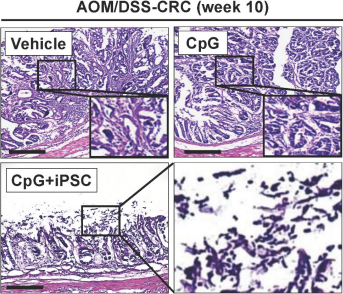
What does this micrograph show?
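In the upper two images, the mucosa is thickened and crowded with closely packed, irregular glands. The glands are lined by purple-staining epithelial cells with dark nuclei, as the enlarged insets show. A thin pink muscular wall lies along the bottom of each section. The lower image has a much sparser, paler mucosa with fewer and more widely separated crypts. Its enlargement shows only scattered purple fragments of tissue.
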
